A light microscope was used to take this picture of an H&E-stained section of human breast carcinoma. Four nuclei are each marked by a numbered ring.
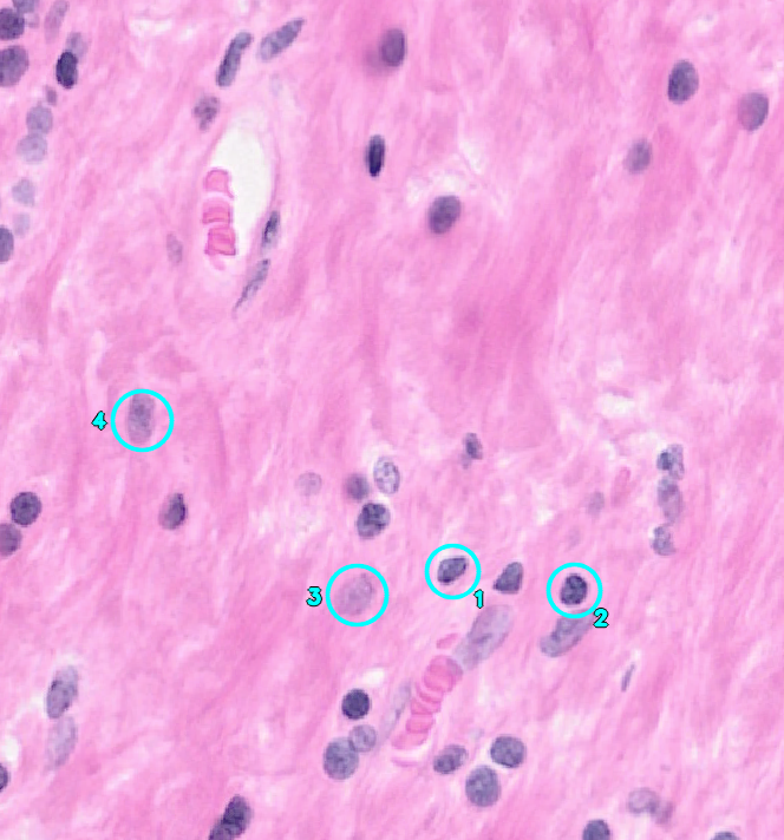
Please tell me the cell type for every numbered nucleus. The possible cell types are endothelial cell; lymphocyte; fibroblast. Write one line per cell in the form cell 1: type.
cell 1: lymphocyte
cell 2: lymphocyte
cell 3: fibroblast
cell 4: fibroblast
